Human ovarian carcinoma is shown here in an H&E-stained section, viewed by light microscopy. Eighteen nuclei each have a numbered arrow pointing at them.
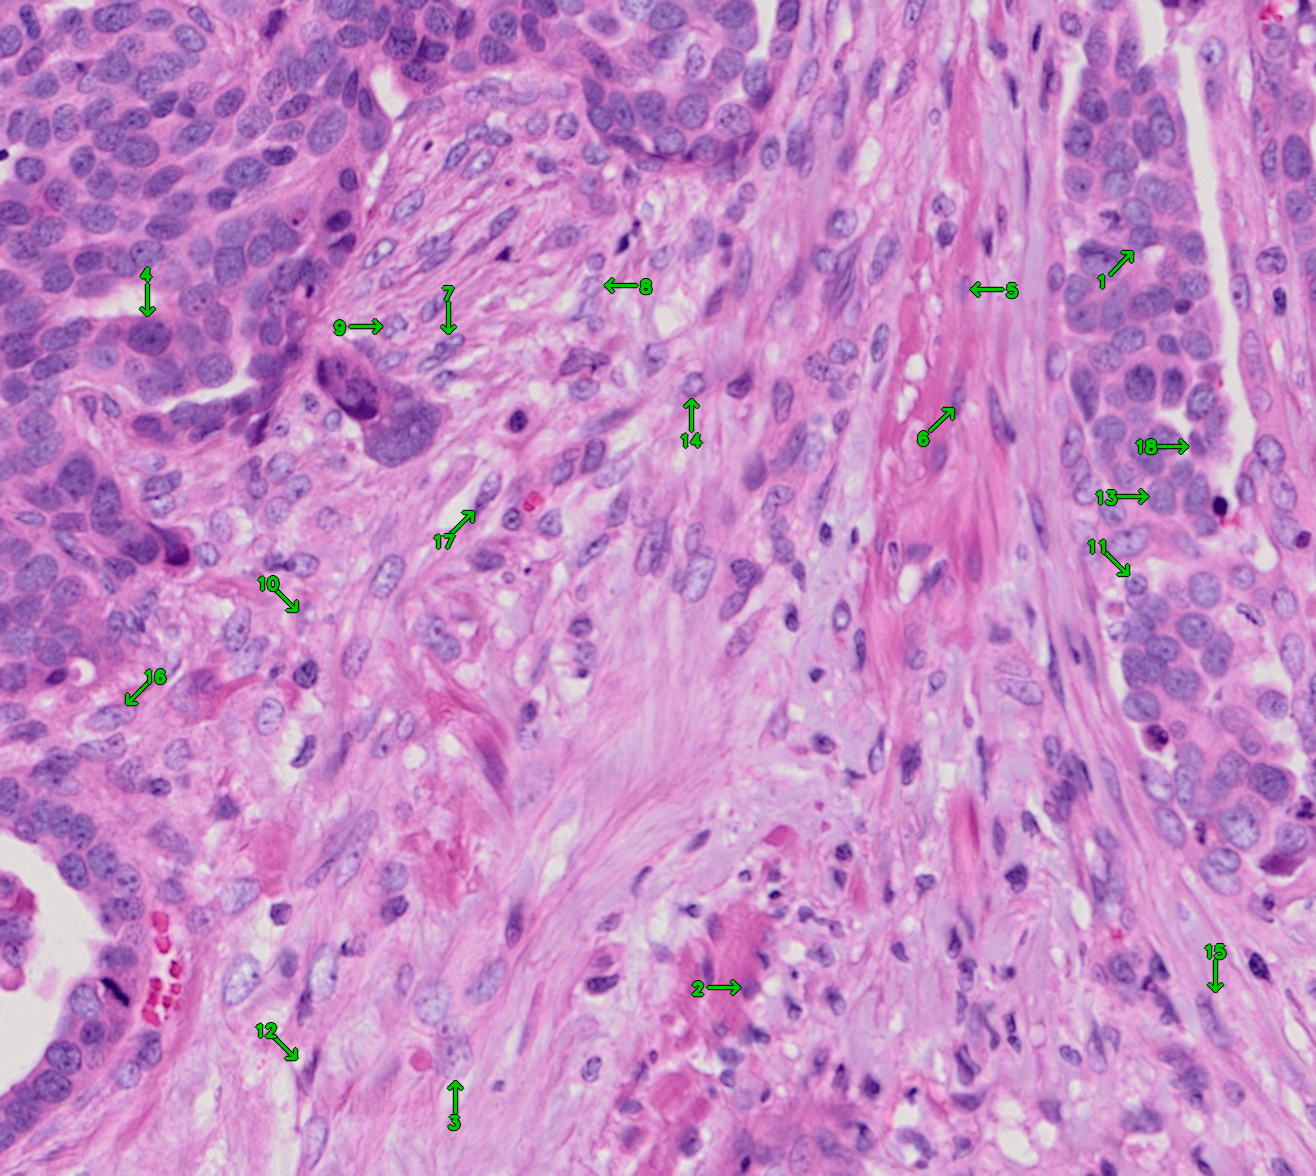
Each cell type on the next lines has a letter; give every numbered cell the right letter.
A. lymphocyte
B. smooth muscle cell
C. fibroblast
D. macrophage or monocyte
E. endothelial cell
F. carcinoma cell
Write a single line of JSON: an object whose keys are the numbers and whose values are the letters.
{"1": "F", "2": "B", "3": "C", "4": "F", "5": "B", "6": "B", "7": "C", "8": "C", "9": "C", "10": "C", "11": "D", "12": "C", "13": "F", "14": "C", "15": "C", "16": "C", "17": "C", "18": "F"}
